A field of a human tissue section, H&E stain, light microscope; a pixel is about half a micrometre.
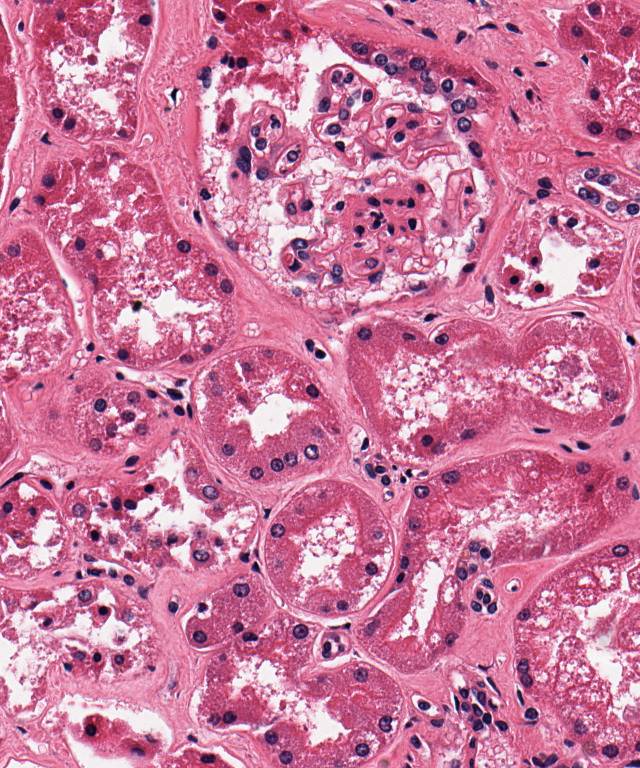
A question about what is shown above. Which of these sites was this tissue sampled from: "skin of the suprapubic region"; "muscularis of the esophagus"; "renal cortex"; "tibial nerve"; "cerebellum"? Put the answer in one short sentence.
The site this tissue was sampled from is the renal cortex.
